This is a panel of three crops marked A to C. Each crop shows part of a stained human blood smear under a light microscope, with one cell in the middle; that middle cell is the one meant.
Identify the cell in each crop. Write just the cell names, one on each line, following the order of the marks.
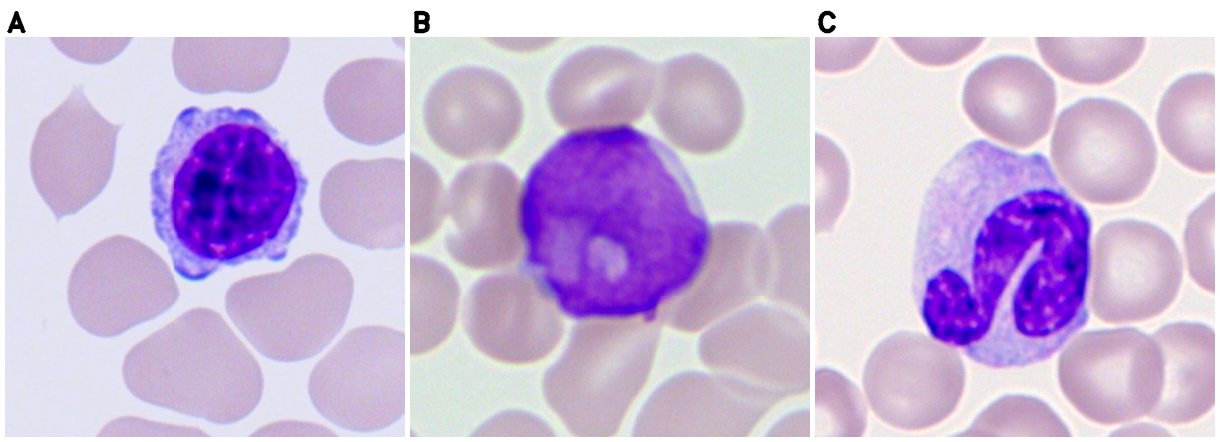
lymphocyte
myeloblast
monocyte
